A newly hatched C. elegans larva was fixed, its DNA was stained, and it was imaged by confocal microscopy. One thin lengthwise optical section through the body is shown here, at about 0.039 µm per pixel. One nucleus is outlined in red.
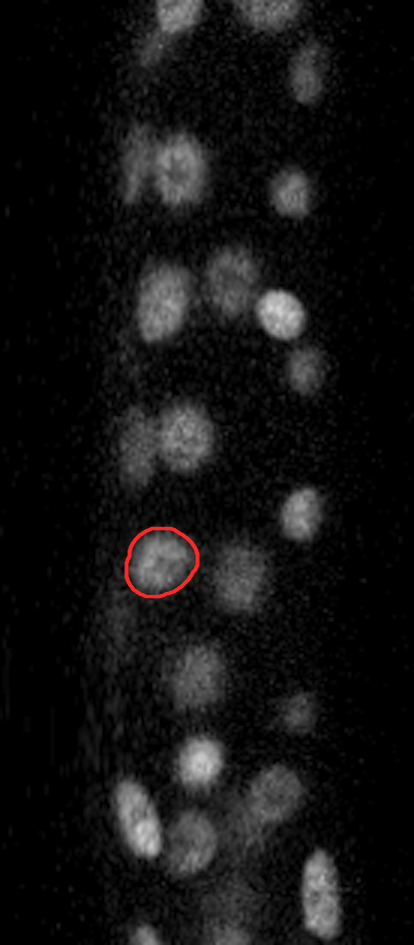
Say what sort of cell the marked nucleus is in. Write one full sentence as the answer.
It is the nucleus of a P cell (ventral epidermal blast cell).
